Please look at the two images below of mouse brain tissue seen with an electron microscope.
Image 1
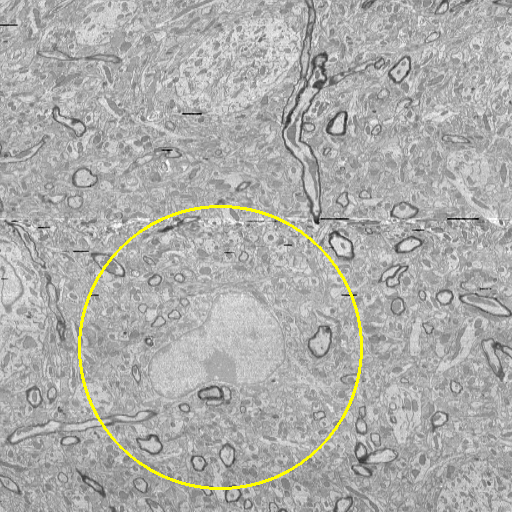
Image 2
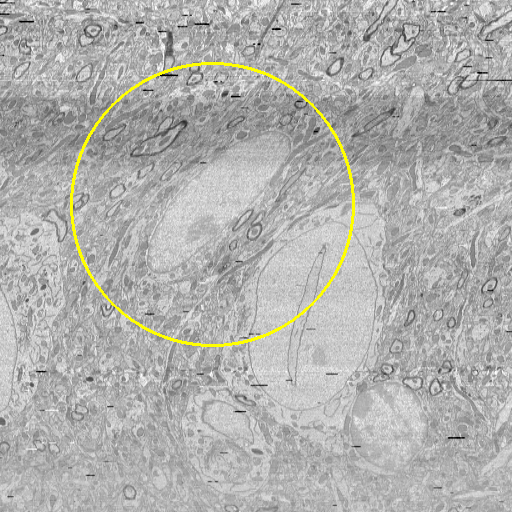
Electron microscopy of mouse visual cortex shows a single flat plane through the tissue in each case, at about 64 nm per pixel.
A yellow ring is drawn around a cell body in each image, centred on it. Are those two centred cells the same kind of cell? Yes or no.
yes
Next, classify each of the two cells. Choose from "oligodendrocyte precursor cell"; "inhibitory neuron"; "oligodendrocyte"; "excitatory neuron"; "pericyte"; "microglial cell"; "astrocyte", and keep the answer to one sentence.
In each of the two pictures, the ringed cell is an astrocyte.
